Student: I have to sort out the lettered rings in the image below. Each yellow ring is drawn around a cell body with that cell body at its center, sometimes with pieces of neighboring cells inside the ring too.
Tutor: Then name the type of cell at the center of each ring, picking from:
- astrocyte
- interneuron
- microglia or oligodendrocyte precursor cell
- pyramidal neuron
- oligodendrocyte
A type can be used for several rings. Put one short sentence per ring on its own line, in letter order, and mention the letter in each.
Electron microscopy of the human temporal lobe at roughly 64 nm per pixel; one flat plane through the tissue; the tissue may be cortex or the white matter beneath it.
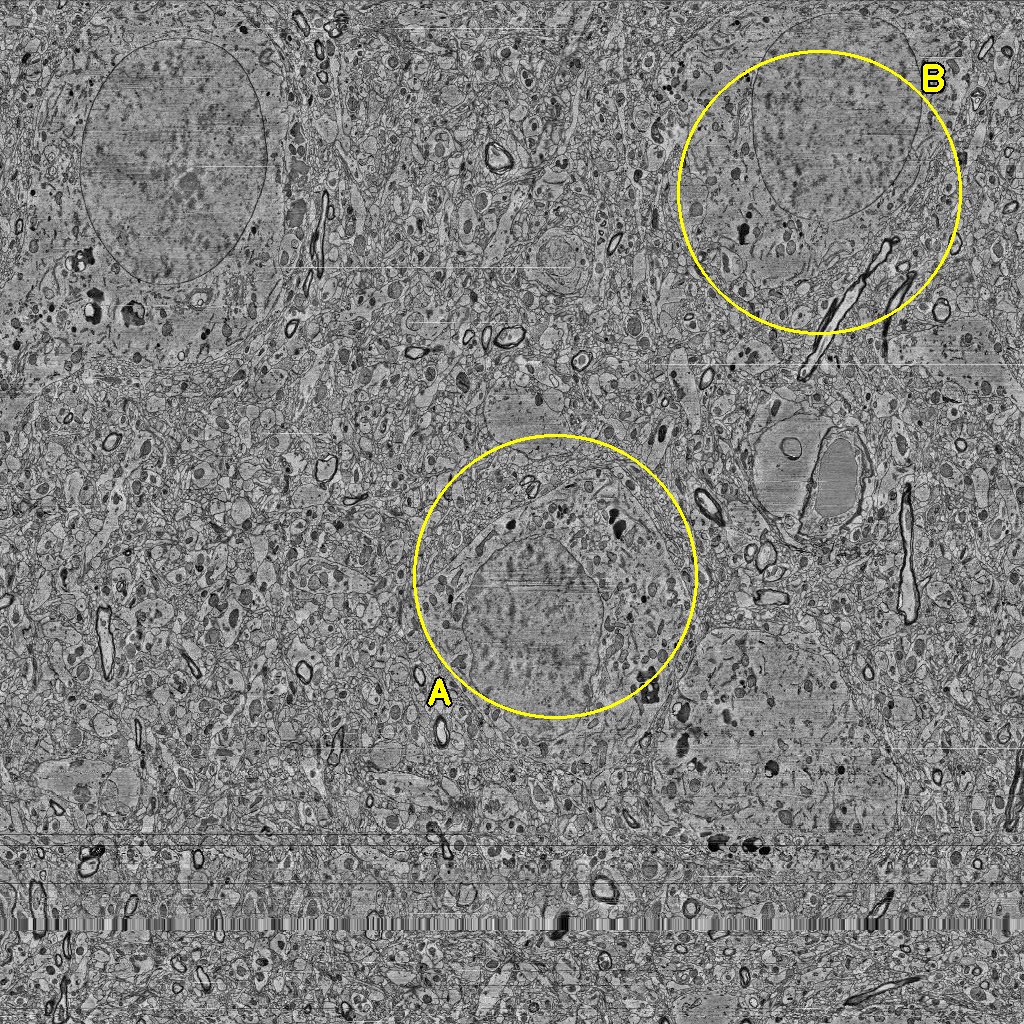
Inside ring A, at its center, is an interneuron.
Inside ring B, at its center, is a pyramidal neuron.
